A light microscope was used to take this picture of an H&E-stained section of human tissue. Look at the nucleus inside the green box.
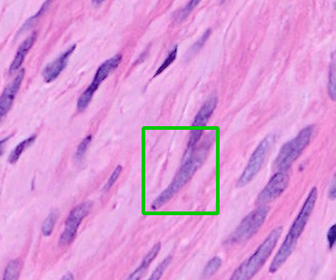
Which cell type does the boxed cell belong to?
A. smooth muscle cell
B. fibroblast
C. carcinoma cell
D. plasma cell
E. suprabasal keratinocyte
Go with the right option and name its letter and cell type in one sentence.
On this slide, the boxed cell is a smooth muscle cell, so option A is right.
